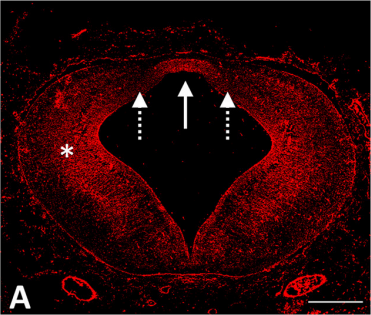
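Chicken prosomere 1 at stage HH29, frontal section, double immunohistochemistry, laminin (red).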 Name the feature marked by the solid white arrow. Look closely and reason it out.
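Roof plate. The solid arrow points to the thin dorsal midline wall above the central ventricle of the neural tube. The tissue there is a narrow band joining the two sides of the tube.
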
